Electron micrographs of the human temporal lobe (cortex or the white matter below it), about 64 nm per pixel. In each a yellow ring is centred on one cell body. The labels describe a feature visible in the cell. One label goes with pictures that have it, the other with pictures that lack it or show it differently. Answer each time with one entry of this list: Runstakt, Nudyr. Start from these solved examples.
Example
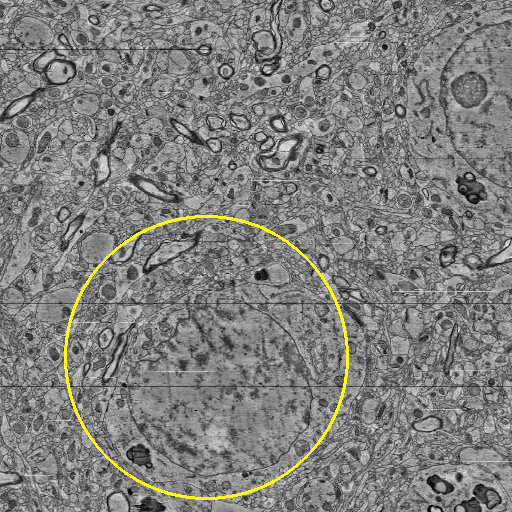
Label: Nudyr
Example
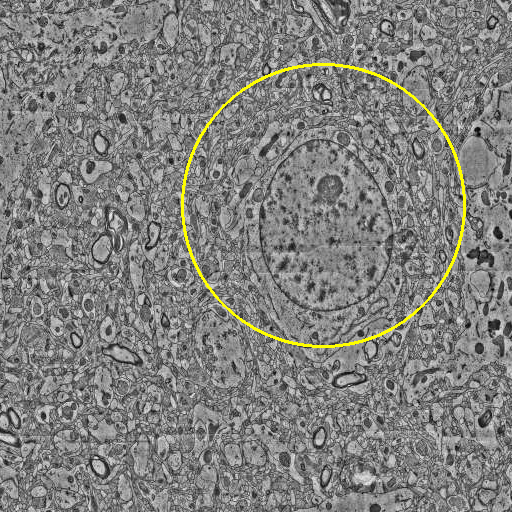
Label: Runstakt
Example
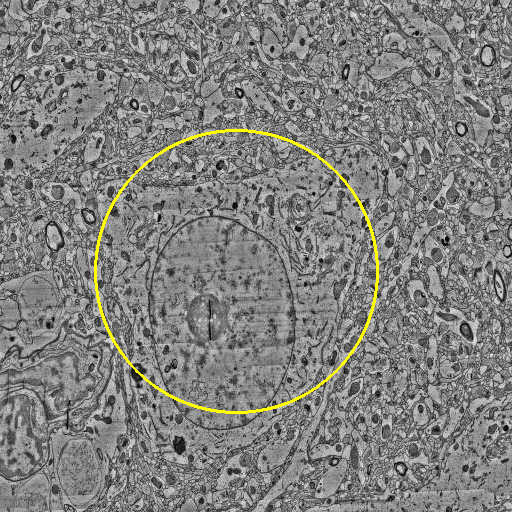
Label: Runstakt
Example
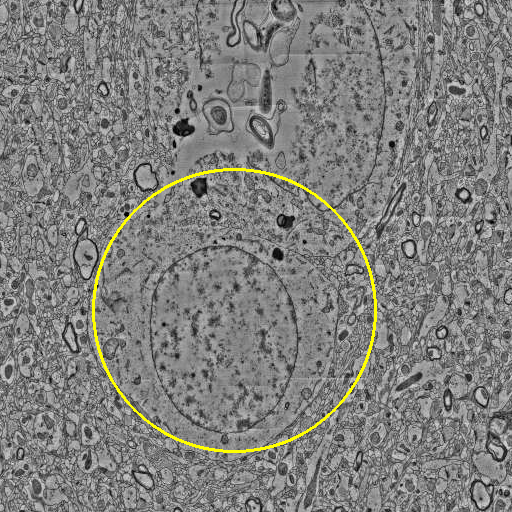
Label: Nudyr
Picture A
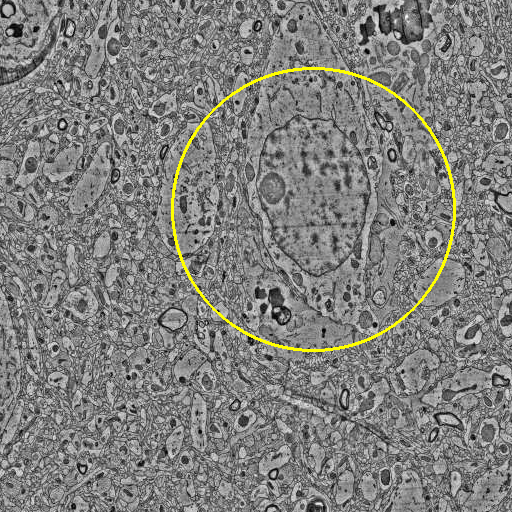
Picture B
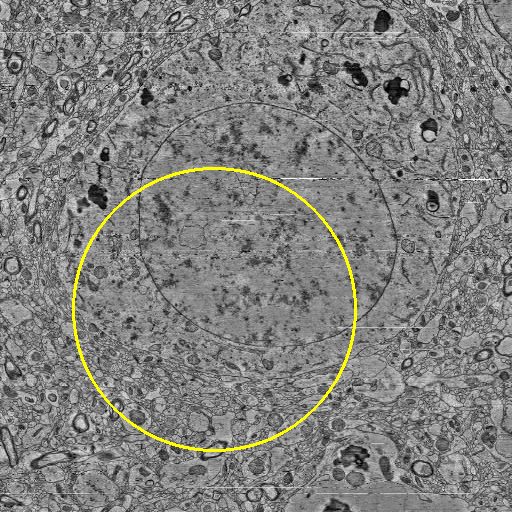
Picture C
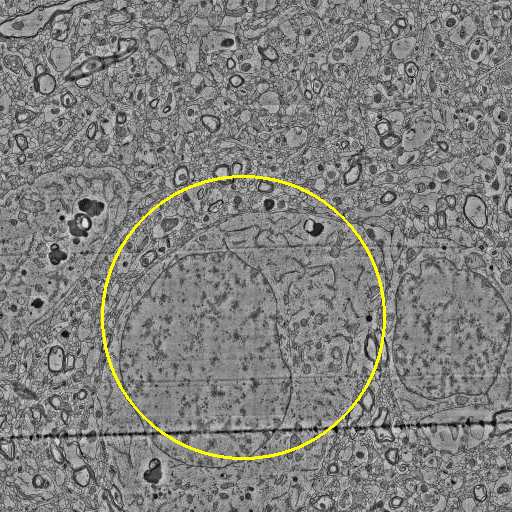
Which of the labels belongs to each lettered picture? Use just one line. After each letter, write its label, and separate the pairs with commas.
A Runstakt, B Nudyr, C Nudyr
